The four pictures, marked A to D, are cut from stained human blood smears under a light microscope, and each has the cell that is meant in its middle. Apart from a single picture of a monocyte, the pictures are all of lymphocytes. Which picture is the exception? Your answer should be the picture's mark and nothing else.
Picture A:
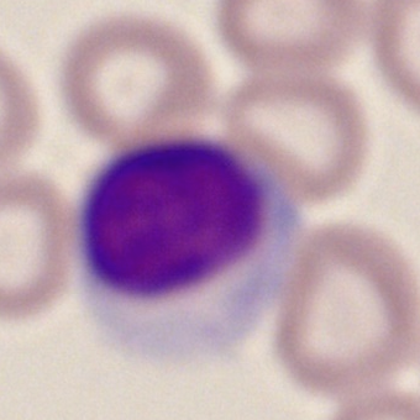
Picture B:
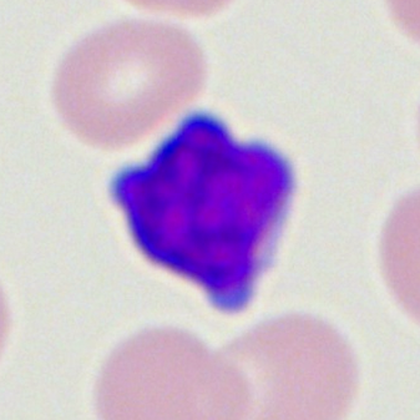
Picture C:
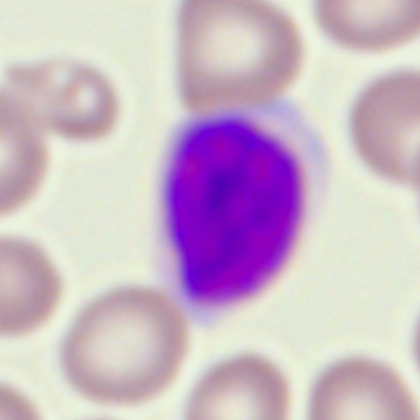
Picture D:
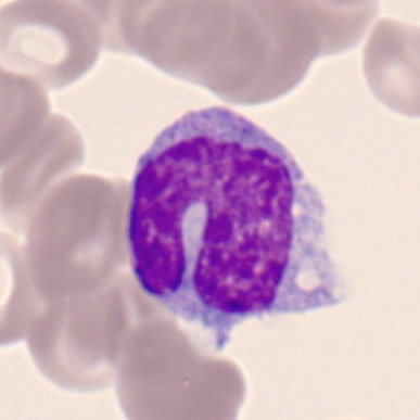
D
